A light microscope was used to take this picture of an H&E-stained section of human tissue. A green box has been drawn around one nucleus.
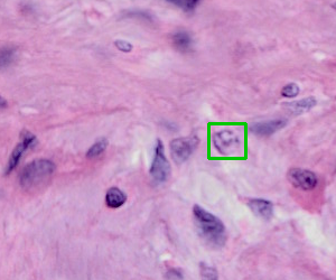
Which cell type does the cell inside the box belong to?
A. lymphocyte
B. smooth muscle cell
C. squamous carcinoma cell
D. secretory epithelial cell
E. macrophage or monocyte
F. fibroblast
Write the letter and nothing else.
E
